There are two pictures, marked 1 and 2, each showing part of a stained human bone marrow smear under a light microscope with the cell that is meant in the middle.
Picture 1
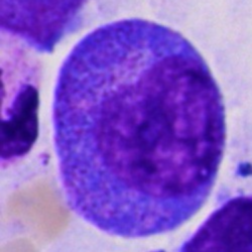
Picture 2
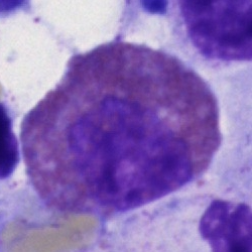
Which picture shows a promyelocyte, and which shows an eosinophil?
1: promyelocyte
2: eosinophil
